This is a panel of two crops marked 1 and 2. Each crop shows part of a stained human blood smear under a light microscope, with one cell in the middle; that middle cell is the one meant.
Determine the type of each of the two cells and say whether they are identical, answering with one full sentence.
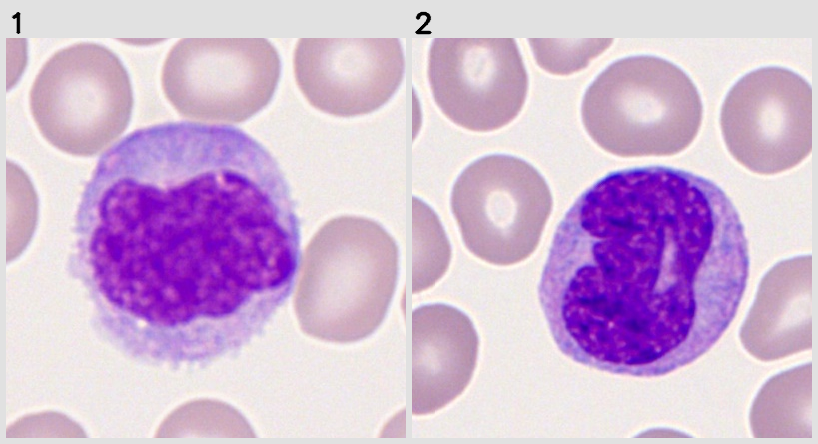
Yes, monocytes are centred in both crops.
